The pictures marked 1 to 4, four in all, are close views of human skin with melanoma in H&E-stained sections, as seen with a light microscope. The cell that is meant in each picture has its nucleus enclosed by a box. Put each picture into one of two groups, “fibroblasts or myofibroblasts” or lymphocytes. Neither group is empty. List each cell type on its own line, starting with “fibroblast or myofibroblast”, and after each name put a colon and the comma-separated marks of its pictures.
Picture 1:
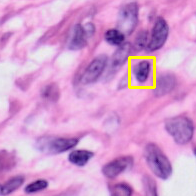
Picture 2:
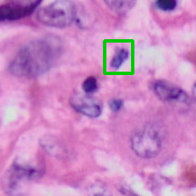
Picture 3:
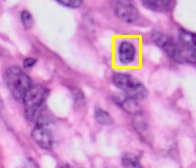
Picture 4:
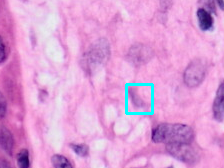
fibroblast or myofibroblast: 4
lymphocyte: 1, 2, 3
